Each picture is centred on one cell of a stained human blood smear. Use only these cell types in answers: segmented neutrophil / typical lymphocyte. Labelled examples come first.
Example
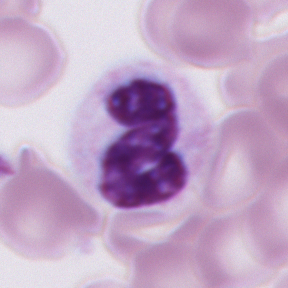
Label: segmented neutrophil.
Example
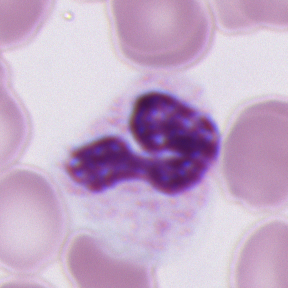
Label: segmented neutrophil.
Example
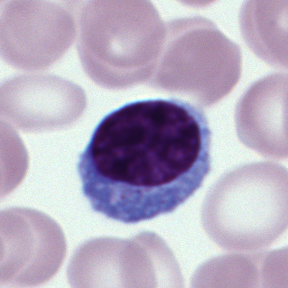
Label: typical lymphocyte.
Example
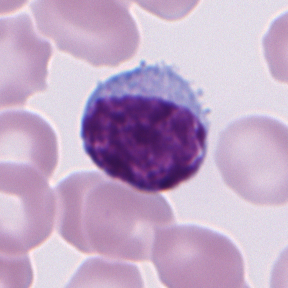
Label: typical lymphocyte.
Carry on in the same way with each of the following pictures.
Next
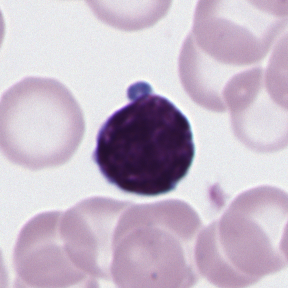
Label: typical lymphocyte.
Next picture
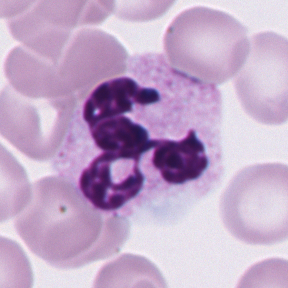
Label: segmented neutrophil.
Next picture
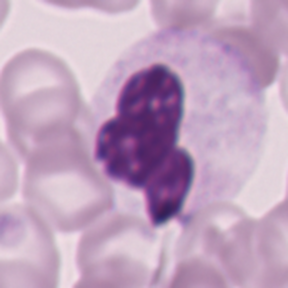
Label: segmented neutrophil.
